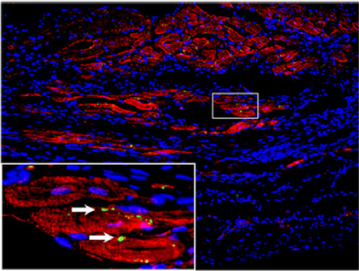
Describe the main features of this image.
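In the enlarged inset the red fibres lie closely packed, and small green dots, marked by arrows, appear at the borders between adjacent fibres. Blue nuclei are scattered between the fibres.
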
